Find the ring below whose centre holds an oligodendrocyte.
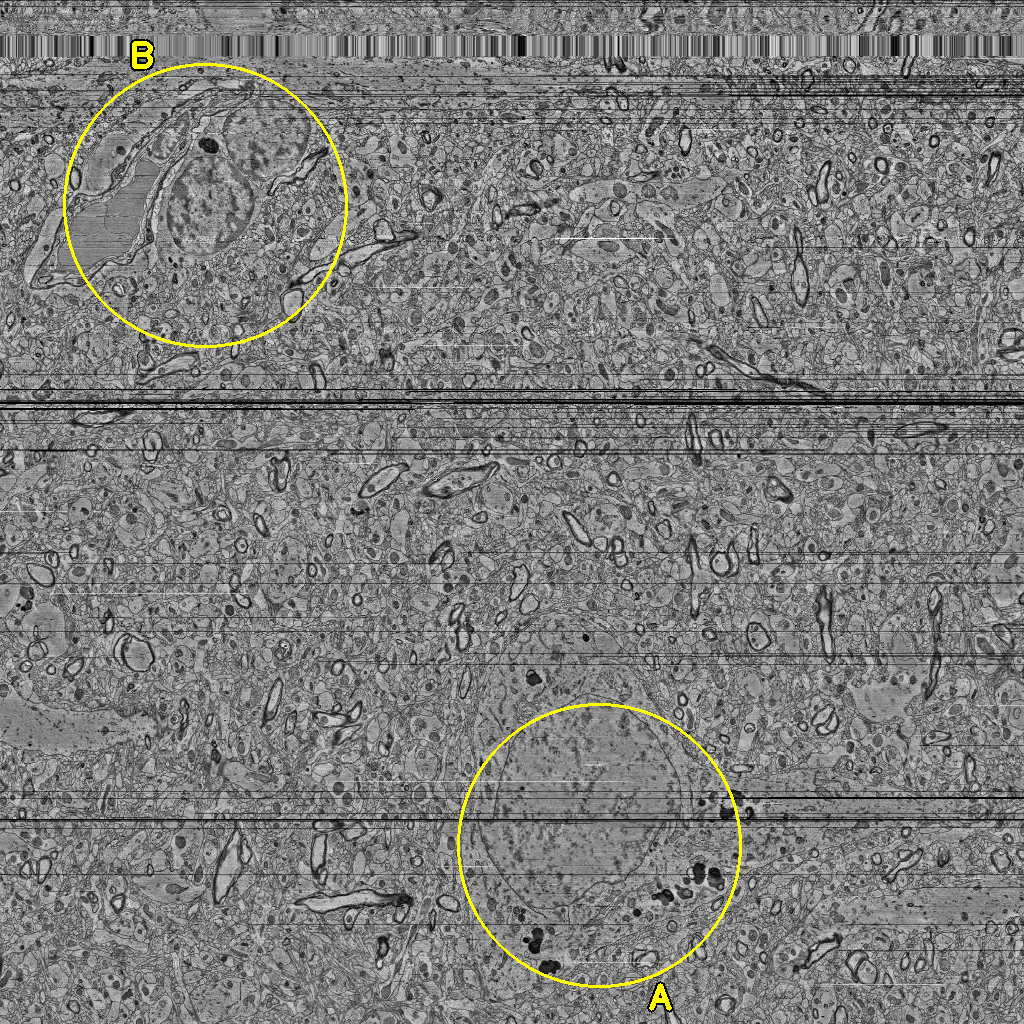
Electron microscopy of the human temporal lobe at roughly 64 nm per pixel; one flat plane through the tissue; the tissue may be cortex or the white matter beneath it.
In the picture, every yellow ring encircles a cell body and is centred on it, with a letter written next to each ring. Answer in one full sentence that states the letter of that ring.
The ring centred on the cell asked for in the picture carries the letter B.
